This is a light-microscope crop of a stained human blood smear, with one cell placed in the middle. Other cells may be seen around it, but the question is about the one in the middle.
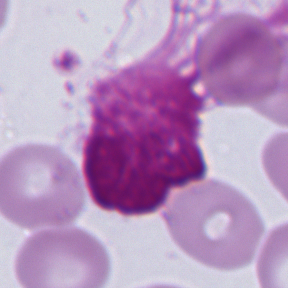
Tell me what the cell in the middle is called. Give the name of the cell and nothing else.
smudge cell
